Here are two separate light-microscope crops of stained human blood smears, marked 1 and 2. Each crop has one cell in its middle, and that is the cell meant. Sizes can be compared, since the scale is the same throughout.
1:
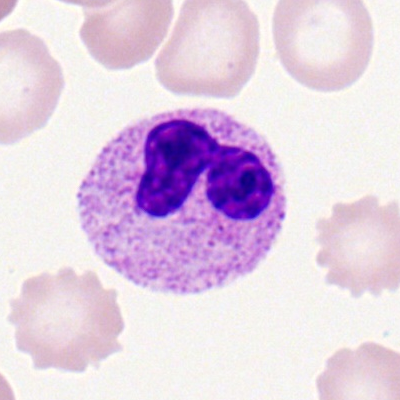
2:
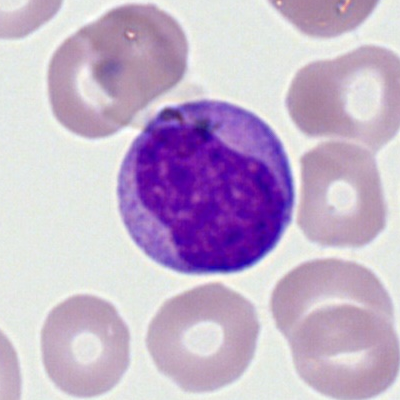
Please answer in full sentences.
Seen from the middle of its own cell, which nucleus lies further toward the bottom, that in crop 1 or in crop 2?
Seen within its cell, the nucleus in crop 2 lies further toward the bottom.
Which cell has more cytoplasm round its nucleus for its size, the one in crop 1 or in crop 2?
It is the cell in crop 1 that is filled less by its nucleus.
